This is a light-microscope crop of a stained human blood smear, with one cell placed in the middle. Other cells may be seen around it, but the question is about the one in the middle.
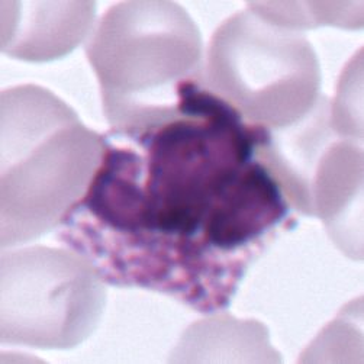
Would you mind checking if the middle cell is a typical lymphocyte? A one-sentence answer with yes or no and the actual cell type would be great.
No, the central cell is not a typical lymphocyte, being instead a basophil.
